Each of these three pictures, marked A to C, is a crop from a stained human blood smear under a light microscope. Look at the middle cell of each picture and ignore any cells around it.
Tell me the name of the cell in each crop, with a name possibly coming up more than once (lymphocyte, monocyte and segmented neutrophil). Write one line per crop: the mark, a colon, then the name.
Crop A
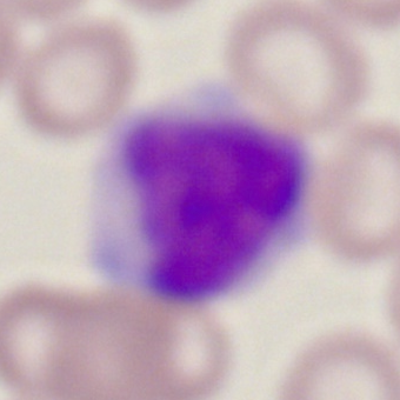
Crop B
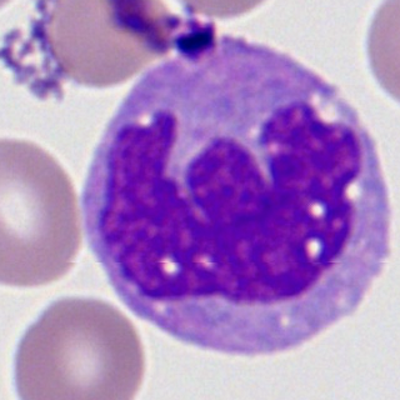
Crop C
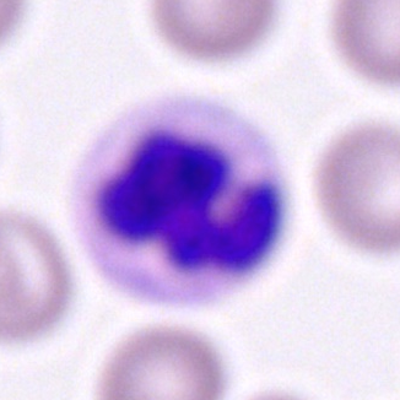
A: lymphocyte
B: monocyte
C: segmented neutrophil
